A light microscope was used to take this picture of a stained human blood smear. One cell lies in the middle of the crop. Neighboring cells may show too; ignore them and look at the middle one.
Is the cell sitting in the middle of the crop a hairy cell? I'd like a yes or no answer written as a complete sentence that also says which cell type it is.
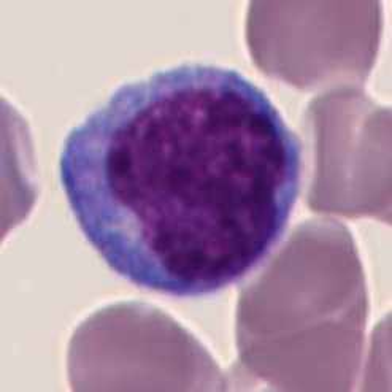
No, calling it a hairy cell is wrong; the middle cell is a monocyte.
